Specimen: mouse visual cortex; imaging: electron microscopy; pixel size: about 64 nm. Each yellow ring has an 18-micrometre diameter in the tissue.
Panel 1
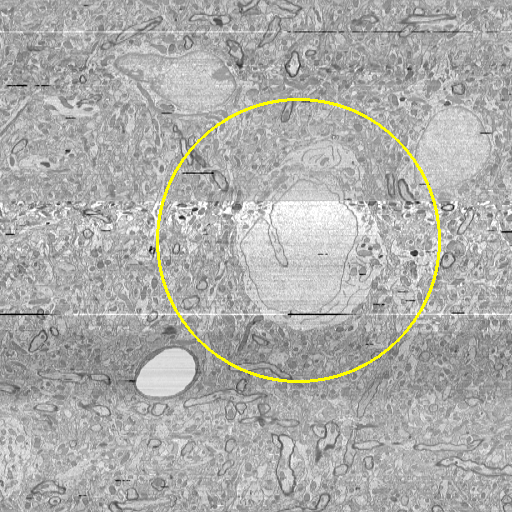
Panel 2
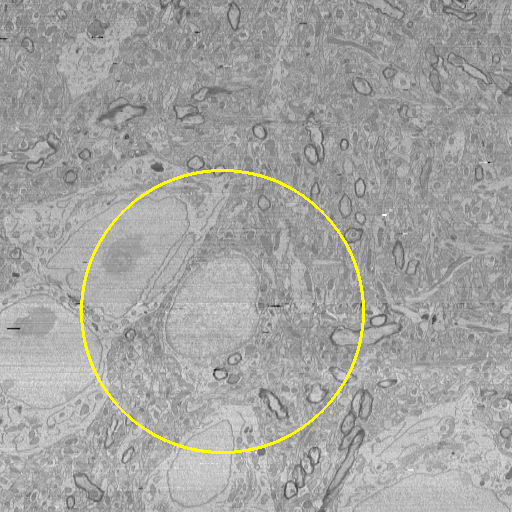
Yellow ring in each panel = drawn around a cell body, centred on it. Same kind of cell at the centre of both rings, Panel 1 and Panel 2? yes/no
no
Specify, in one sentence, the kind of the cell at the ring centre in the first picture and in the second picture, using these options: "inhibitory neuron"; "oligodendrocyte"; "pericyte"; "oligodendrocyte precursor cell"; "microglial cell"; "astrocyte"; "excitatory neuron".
So the first is an excitatory neuron, the second an astrocyte.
